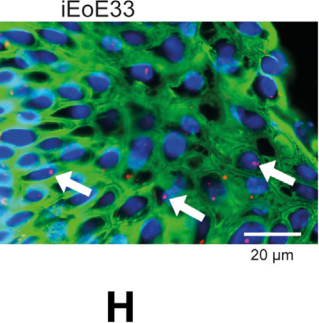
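This is esophageal epithelium, in which the green-outlined epithelial cells form a dense meshwork of several layers. Each cell holds one oval to rounded blue nucleus, and bright green lines between the cells give the tissue a net-like look. Only a few small red dots lie within the cells, and white arrows point to them. Toward the left edge, a row of cells with more elongated nuclei is packed closely together.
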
